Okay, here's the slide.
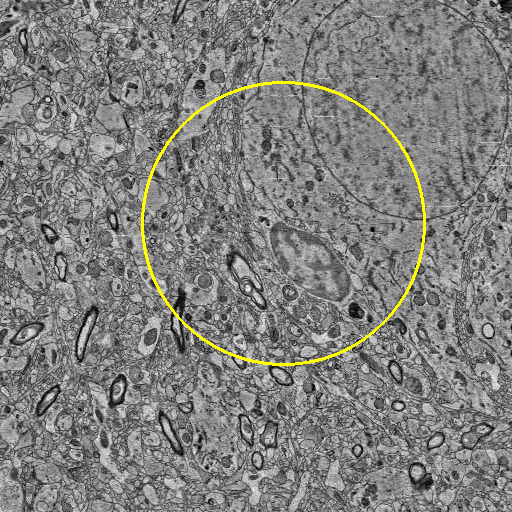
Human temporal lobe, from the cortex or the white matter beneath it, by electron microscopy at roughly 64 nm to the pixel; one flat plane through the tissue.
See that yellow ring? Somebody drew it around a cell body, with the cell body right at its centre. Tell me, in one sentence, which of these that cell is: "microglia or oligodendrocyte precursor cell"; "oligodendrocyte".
The cell in the middle of the ring is a microglial cell or oligodendrocyte precursor cell.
